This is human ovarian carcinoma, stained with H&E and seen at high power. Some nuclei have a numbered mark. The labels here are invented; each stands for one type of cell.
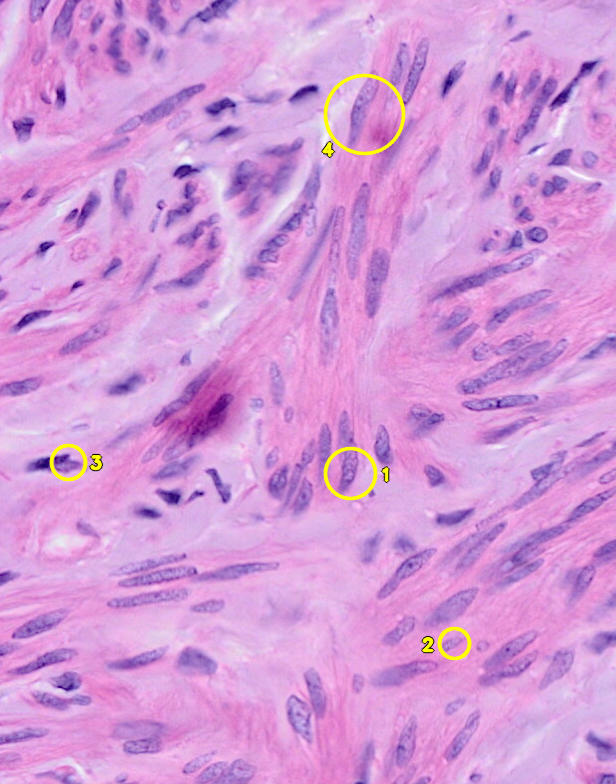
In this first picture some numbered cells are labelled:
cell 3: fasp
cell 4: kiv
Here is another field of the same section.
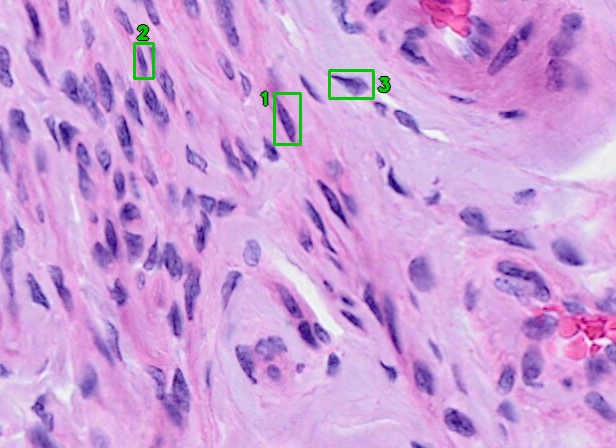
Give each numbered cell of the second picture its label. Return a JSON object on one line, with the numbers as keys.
{"1": "kiv", "2": "kiv", "3": "fasp"}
